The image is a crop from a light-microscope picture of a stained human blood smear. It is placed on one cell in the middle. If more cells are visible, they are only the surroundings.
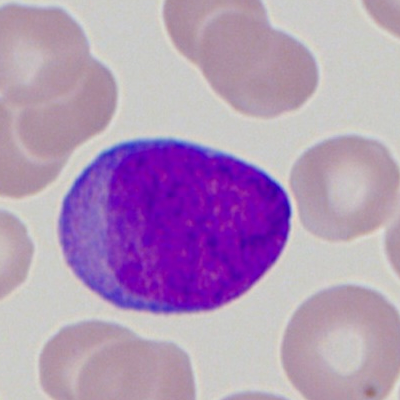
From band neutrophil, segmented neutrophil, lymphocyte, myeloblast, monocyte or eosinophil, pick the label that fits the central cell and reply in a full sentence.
Positioned in the middle of the crop is a myeloblast.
